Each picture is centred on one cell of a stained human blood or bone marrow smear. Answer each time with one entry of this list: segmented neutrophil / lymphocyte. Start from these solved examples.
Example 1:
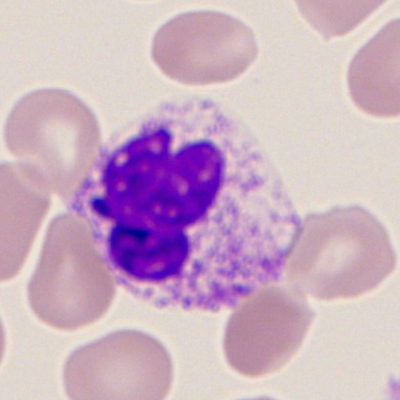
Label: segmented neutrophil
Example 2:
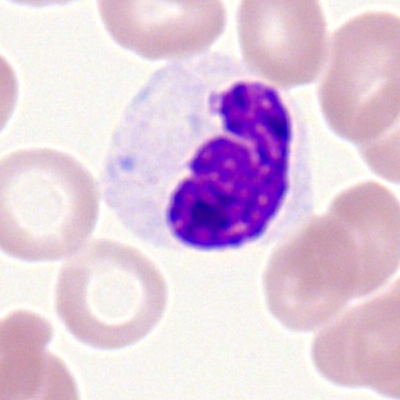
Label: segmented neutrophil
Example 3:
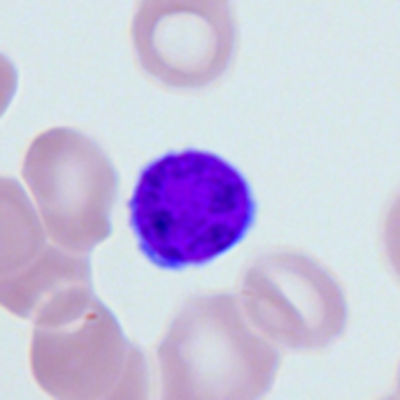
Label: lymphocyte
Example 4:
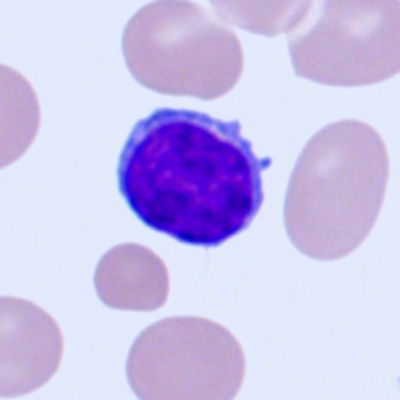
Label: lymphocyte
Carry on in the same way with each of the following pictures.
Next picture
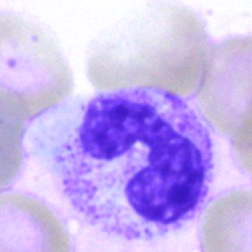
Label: segmented neutrophil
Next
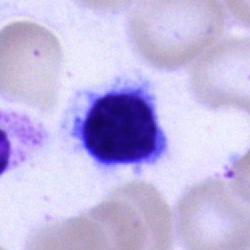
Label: lymphocyte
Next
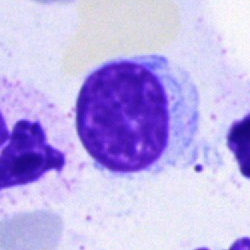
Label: lymphocyte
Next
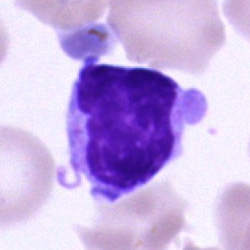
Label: lymphocyte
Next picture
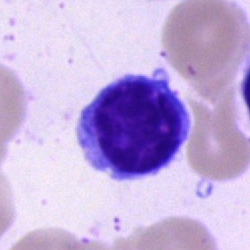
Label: lymphocyte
